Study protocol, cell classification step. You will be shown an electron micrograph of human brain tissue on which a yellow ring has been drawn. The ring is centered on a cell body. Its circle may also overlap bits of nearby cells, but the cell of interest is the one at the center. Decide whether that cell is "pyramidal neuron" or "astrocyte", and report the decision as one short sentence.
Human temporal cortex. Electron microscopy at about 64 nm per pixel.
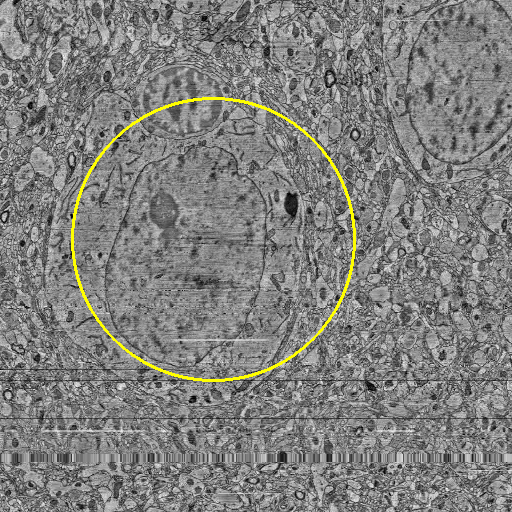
The marked cell is a pyramidal neuron.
